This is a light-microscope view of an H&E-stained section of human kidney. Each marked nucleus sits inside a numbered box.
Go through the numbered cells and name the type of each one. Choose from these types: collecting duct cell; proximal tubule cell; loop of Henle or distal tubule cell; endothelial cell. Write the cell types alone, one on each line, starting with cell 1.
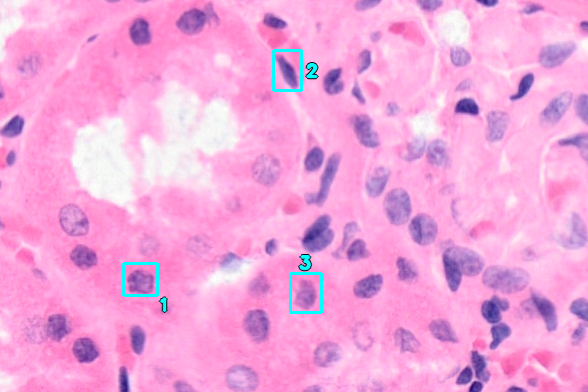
proximal tubule cell
endothelial cell
proximal tubule cell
